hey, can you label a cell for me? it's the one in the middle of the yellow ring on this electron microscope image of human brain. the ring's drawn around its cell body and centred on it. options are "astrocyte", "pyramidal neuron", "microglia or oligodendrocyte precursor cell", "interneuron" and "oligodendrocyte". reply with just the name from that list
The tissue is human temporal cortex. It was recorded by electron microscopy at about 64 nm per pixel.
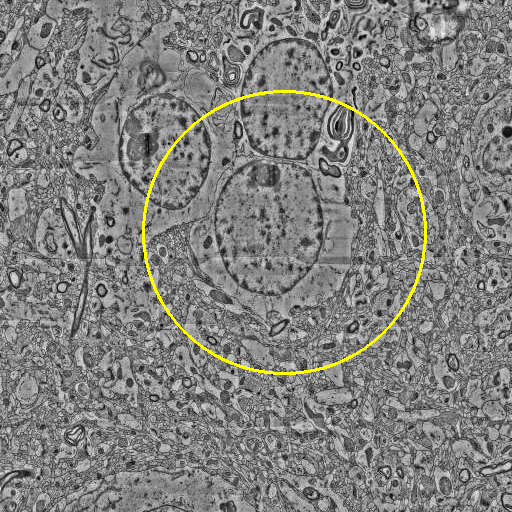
astrocyte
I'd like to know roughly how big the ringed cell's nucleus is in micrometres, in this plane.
Approximately 9 micrometres long and 7 micrometres wide, in this plane.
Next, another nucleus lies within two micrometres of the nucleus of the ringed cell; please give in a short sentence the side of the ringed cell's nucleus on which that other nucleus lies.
The other nucleus is situated above it.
